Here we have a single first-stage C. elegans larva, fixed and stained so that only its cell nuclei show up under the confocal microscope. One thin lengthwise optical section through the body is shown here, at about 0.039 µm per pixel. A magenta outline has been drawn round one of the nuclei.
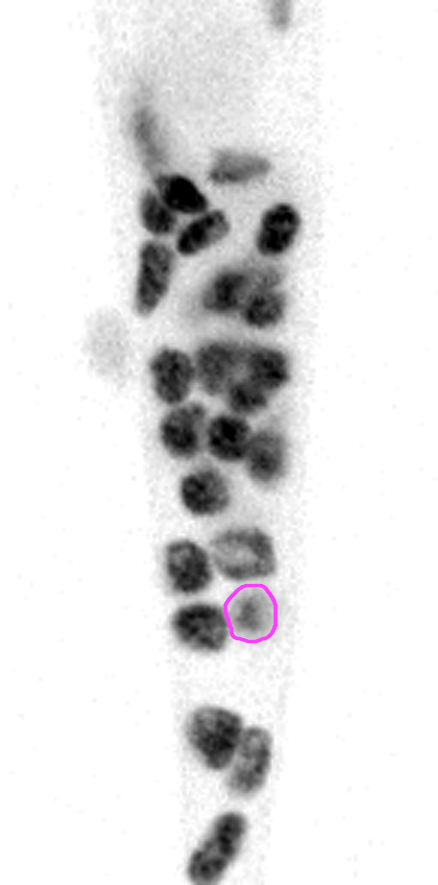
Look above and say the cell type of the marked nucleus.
neuron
